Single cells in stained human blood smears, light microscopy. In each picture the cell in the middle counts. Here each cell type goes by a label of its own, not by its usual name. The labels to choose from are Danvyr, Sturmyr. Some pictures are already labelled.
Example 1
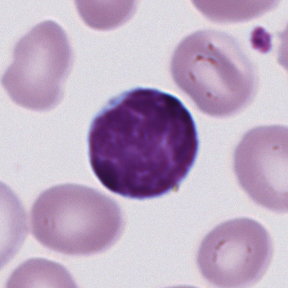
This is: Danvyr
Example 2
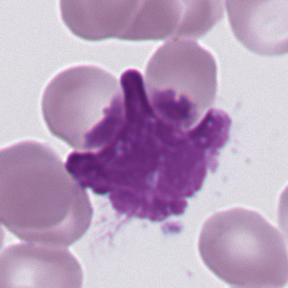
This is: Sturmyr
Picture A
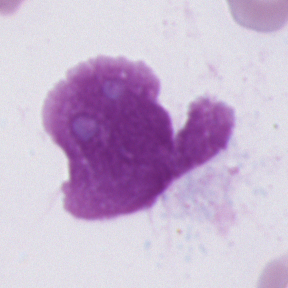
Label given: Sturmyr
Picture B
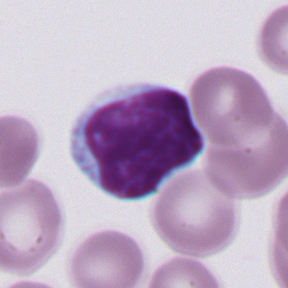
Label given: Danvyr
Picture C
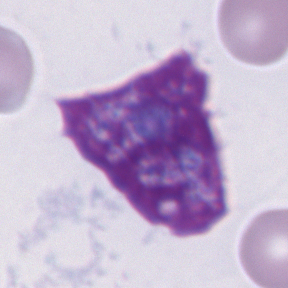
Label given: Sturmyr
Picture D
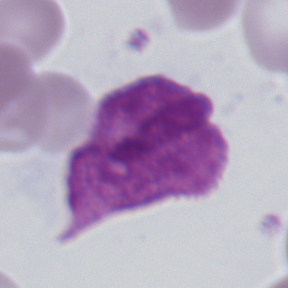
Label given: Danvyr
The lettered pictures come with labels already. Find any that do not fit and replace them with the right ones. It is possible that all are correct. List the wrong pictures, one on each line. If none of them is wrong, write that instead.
D should be Sturmyr, not Danvyr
